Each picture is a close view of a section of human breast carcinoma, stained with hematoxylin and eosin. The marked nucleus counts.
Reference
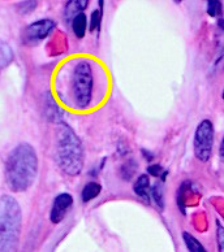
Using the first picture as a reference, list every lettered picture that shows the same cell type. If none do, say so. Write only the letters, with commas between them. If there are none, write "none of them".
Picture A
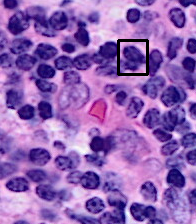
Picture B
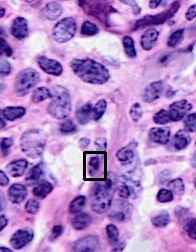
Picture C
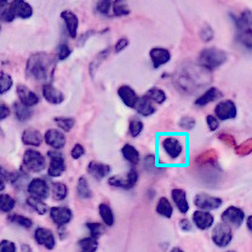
none of them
